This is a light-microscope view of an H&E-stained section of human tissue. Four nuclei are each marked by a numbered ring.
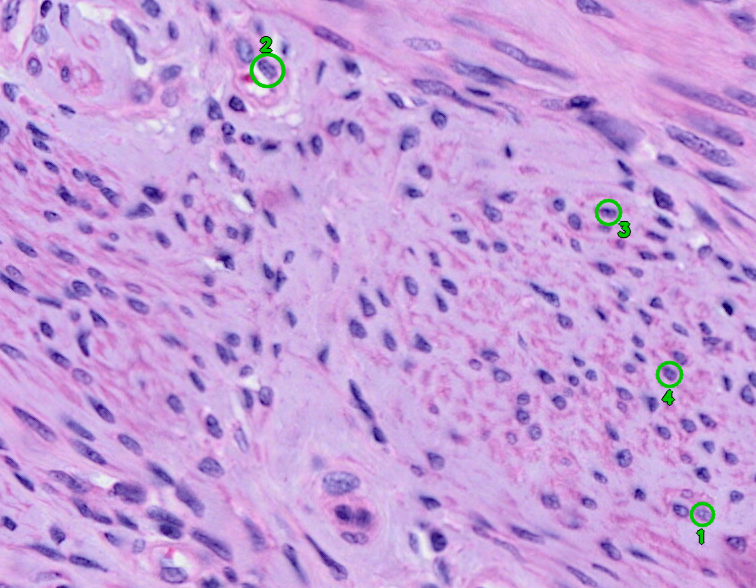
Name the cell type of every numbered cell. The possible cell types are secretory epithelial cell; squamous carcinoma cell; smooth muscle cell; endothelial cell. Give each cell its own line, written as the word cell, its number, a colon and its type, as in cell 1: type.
cell 1: smooth muscle cell
cell 2: endothelial cell
cell 3: smooth muscle cell
cell 4: smooth muscle cell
